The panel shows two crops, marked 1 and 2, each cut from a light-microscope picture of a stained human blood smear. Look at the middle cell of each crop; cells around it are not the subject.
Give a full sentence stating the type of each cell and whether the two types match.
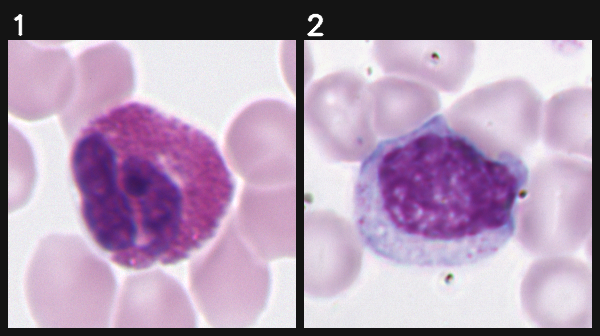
No, the cell centred in crop 1 is an eosinophil, and that centred in crop 2 is a myelocyte.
